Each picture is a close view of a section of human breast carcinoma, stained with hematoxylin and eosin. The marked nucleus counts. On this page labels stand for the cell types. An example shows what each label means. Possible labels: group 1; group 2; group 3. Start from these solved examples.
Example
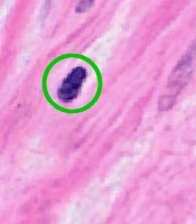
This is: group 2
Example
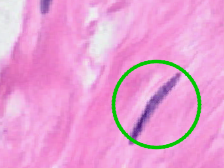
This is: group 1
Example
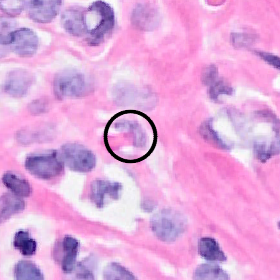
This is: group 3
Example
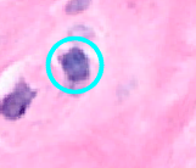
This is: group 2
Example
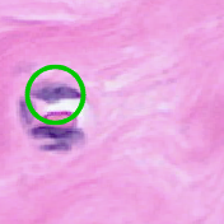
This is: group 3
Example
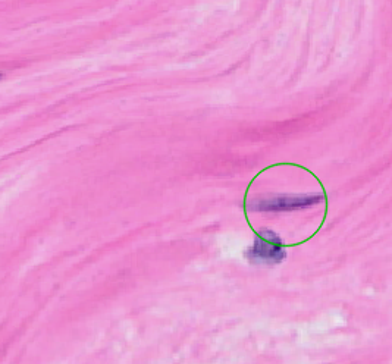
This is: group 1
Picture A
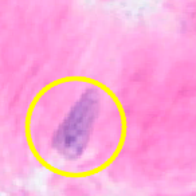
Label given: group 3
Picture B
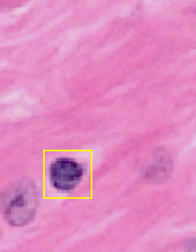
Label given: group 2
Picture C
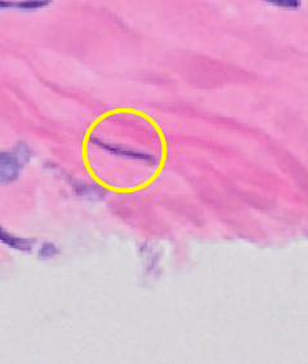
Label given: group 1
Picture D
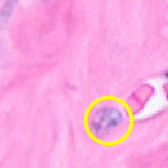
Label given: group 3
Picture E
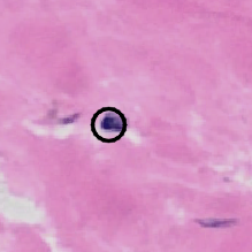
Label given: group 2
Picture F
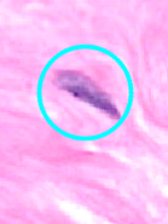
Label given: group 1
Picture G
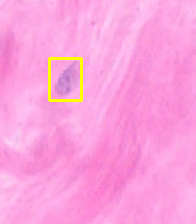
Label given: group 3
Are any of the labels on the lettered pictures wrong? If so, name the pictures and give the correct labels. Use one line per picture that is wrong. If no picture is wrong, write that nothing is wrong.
A: change group 3 to group 1
G: change group 3 to group 1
